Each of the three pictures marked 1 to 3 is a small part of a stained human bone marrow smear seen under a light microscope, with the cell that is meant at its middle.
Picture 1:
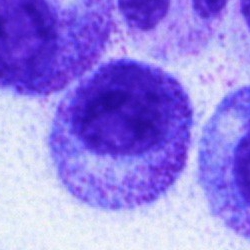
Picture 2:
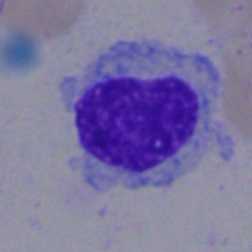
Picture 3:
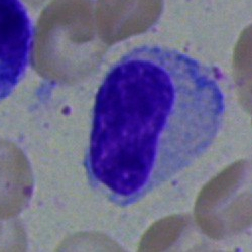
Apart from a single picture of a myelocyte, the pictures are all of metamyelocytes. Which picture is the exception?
1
